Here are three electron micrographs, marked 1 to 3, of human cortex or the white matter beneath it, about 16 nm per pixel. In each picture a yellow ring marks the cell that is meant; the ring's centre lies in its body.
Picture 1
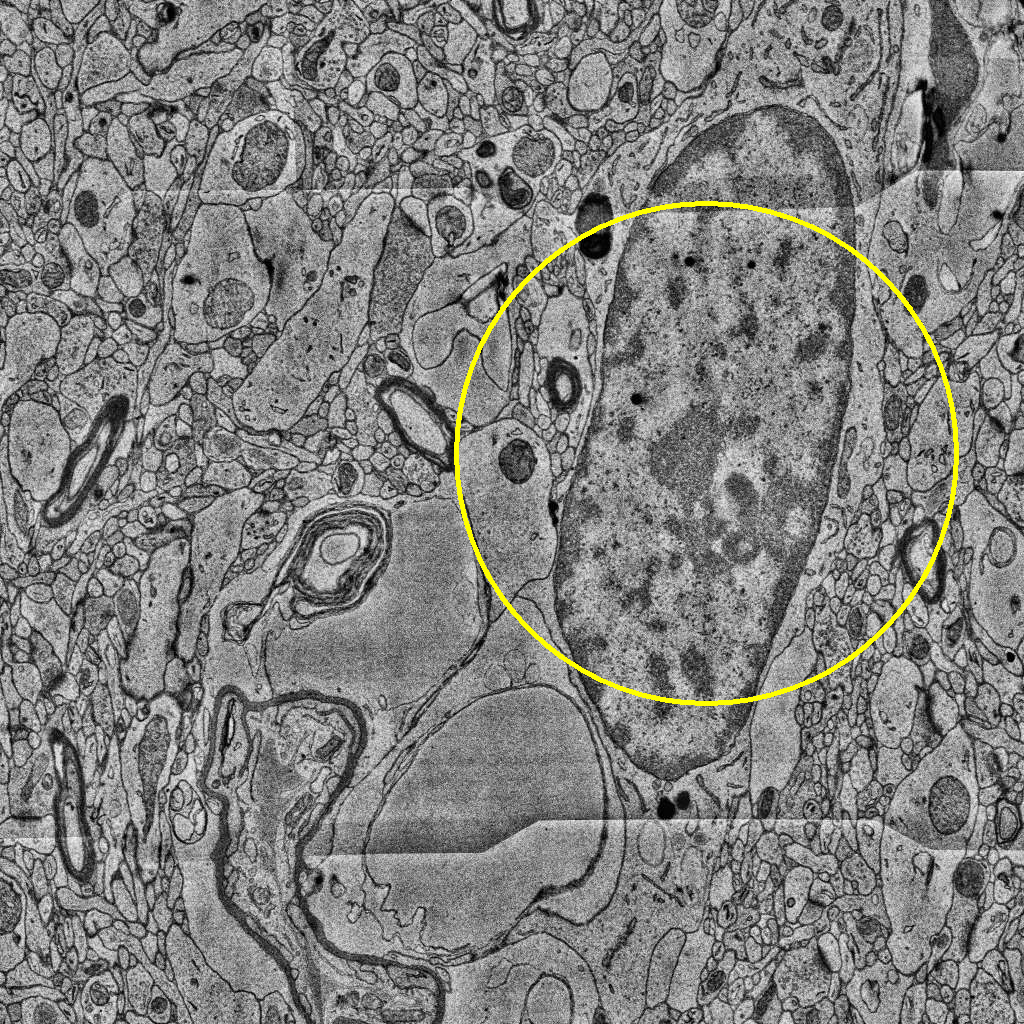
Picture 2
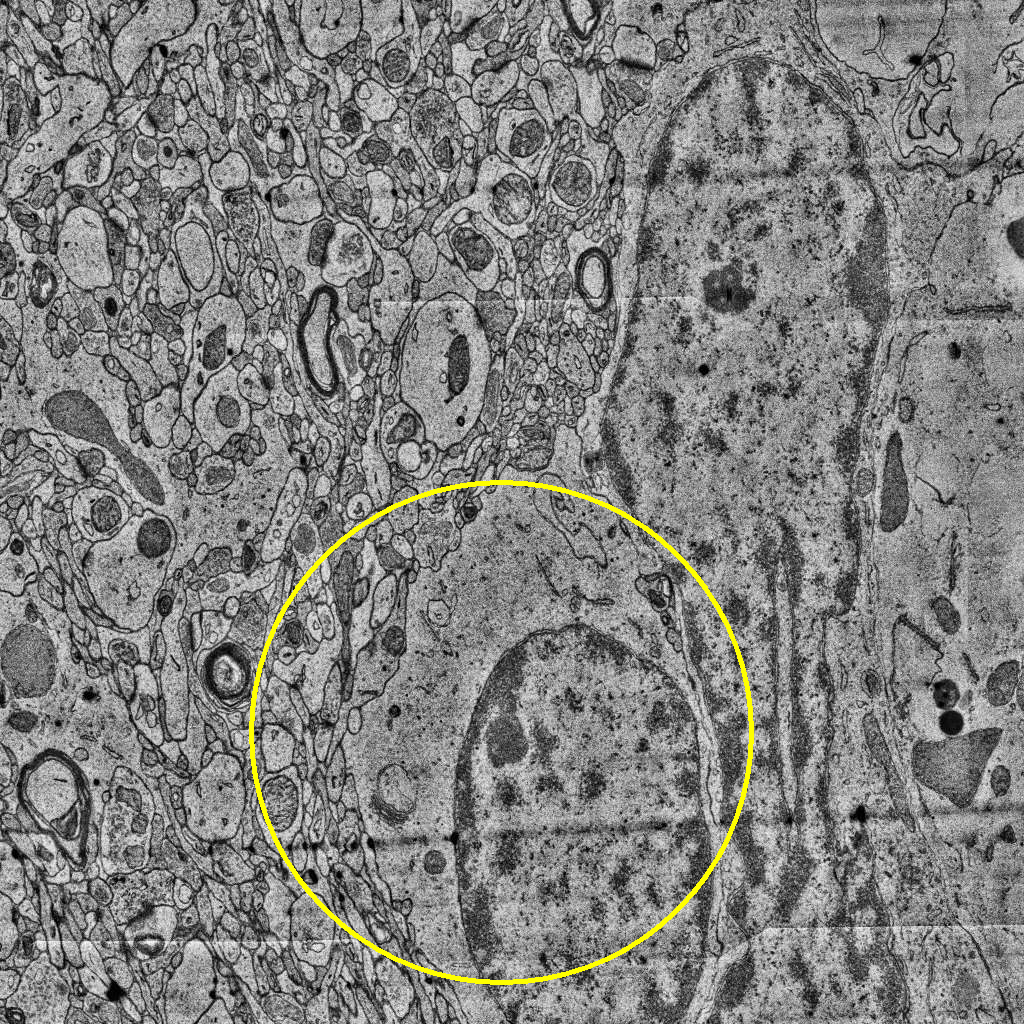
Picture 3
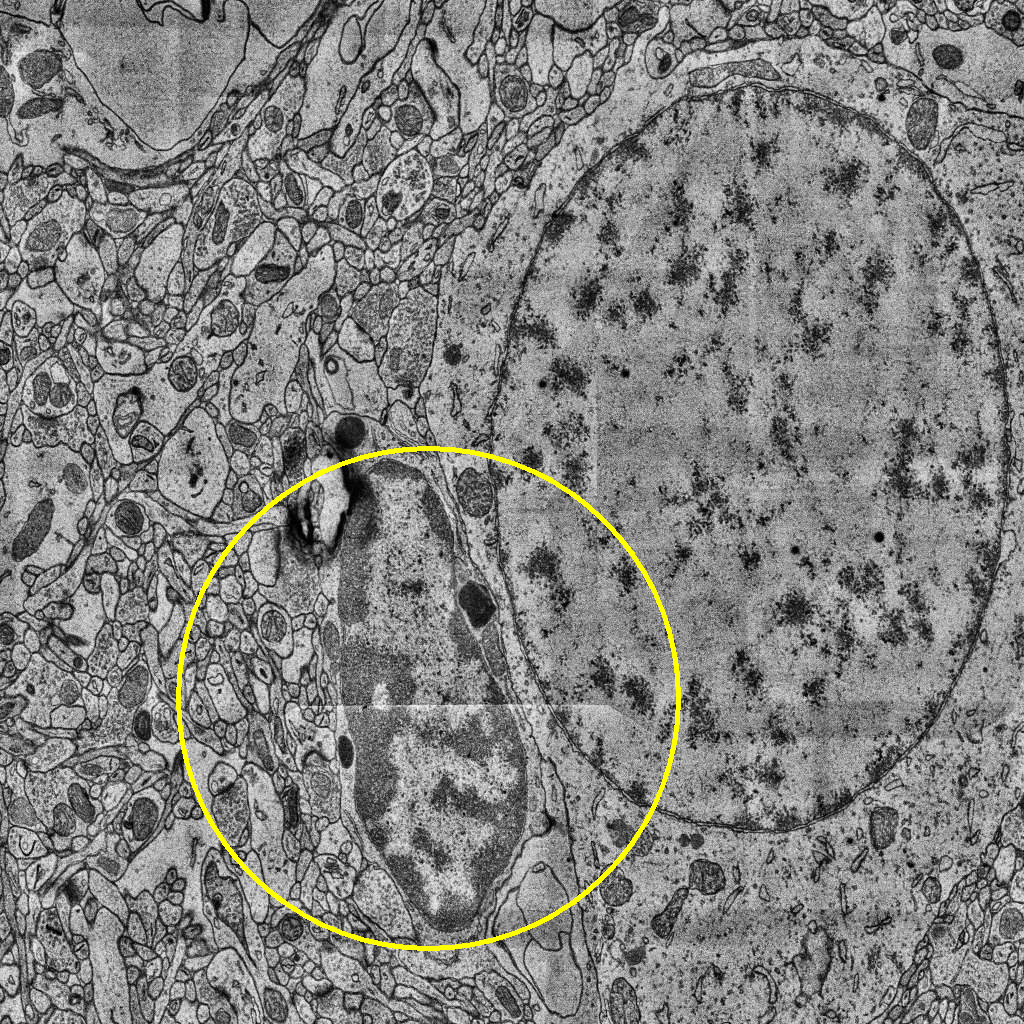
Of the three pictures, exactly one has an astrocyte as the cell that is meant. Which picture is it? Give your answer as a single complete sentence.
The picture with the astrocyte is 2.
